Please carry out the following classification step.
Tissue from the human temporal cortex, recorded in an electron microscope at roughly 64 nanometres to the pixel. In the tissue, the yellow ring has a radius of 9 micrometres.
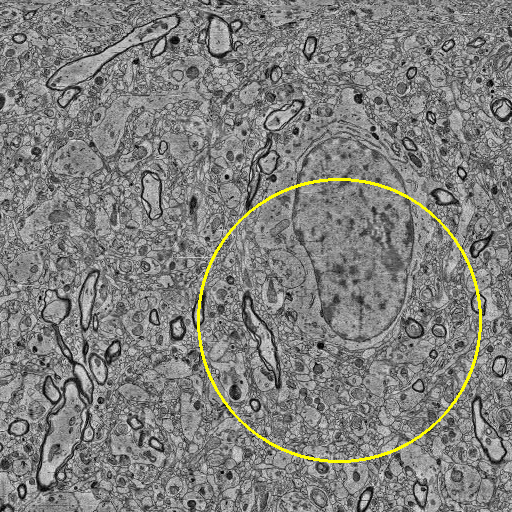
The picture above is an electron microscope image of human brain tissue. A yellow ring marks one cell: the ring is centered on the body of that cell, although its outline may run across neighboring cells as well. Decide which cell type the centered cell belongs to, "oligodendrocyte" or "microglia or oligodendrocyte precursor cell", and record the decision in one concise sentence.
The cell centered in the yellow ring is a microglial cell or oligodendrocyte precursor cell.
